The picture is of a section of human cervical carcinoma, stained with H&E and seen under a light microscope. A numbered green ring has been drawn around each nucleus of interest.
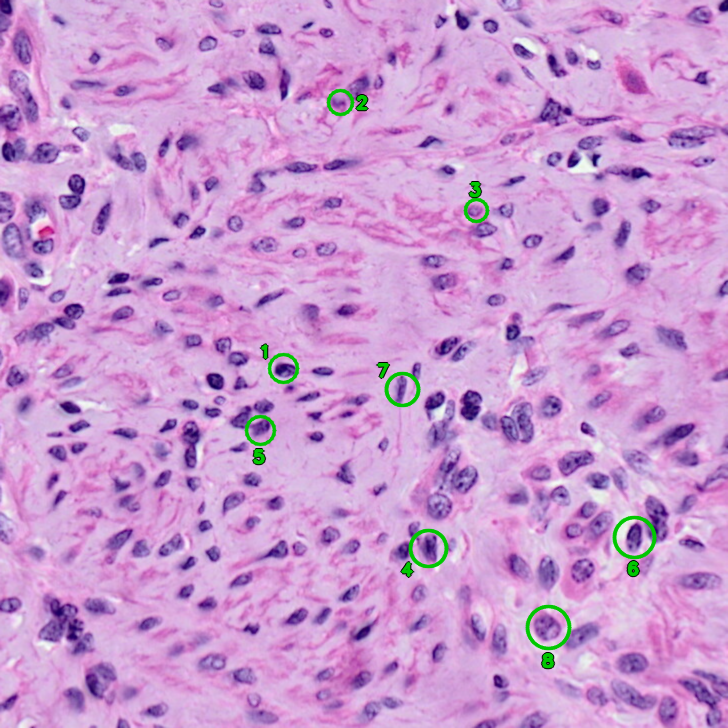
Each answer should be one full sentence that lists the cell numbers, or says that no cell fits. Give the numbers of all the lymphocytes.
Within this tissue, the cells numbered 1, 4 and 6 are lymphocytes.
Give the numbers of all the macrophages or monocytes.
Only the cell carrying number 8 is a macrophage or monocyte.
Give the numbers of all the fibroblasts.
The cells numbered 5 and 7 are identified as fibroblasts.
